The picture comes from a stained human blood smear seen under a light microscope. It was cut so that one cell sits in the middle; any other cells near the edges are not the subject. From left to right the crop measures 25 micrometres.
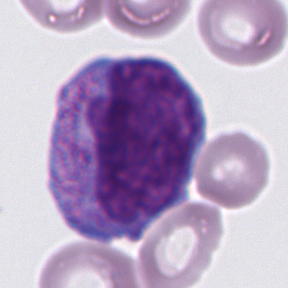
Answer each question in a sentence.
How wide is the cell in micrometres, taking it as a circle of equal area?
The diameter of the cell comes to about 15 micrometres.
